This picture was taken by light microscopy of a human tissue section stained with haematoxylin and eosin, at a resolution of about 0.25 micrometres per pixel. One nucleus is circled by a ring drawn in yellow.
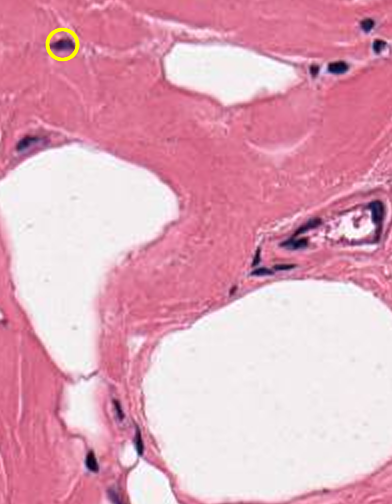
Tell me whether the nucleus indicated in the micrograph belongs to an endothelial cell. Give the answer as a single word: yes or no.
no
